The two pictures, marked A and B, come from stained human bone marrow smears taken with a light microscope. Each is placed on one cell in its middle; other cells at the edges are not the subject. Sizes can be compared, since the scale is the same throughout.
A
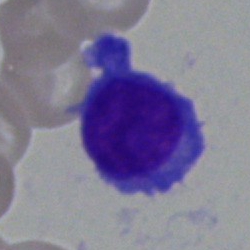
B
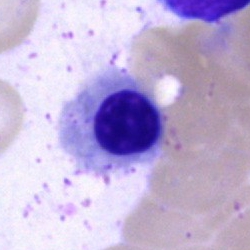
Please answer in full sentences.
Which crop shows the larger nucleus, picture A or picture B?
It is the nucleus in picture A, about 2.5 times as large in area as the one in picture B.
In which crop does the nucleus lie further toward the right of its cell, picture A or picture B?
It is the nucleus in picture B that lies further toward the right of its cell.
